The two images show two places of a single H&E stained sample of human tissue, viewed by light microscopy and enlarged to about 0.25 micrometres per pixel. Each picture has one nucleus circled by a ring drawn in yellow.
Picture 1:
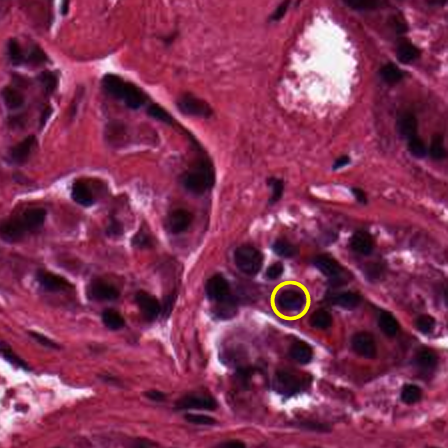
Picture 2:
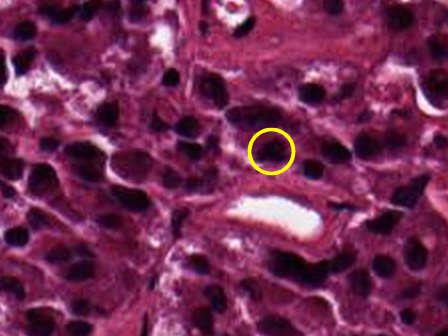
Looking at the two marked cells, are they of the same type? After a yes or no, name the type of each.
Yes, both are anterior pituitary cells.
